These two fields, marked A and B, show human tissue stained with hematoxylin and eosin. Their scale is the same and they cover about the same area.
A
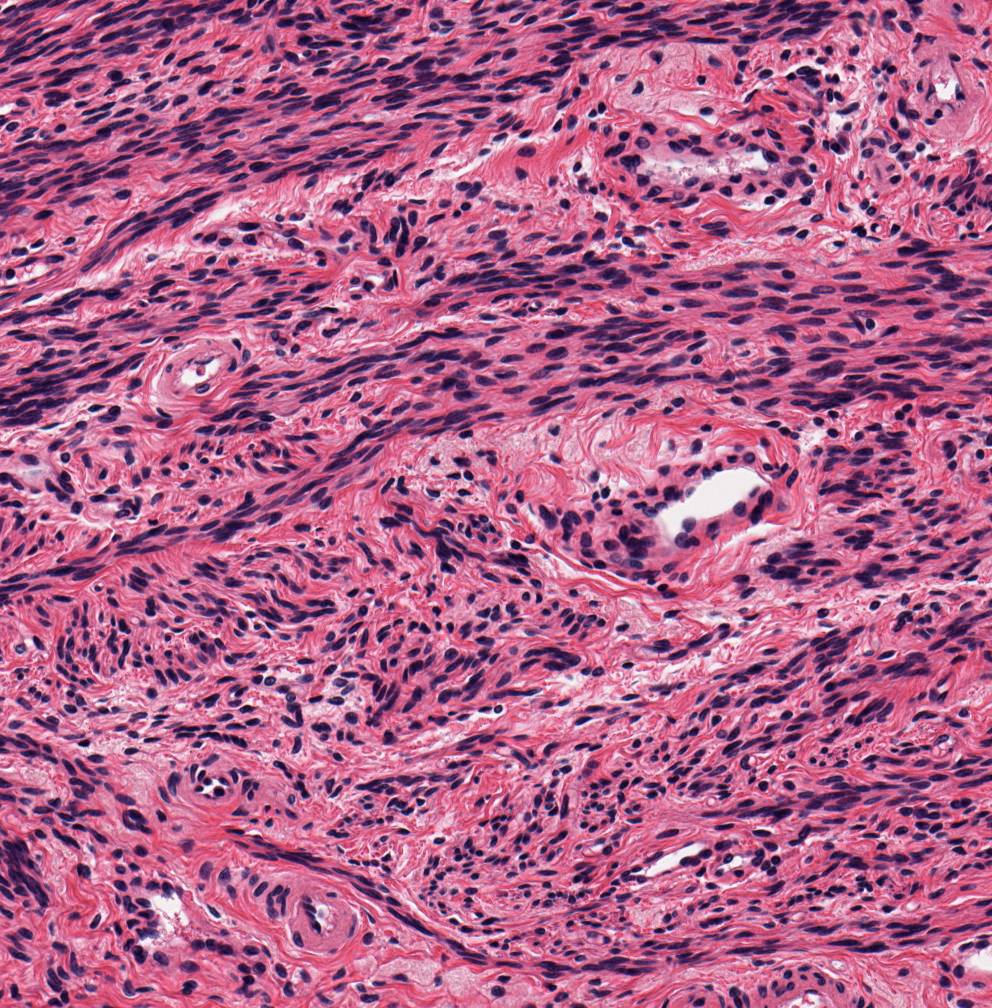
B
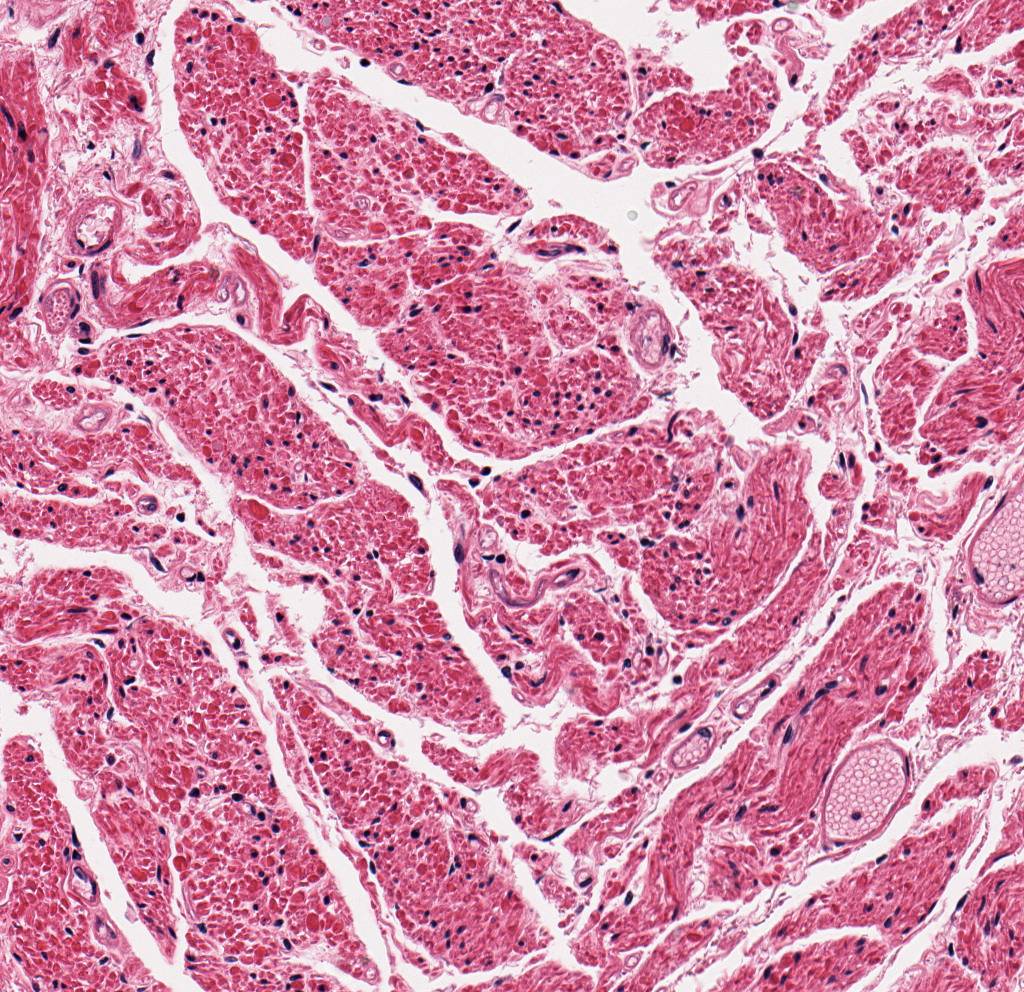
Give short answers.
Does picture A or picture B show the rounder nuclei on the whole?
B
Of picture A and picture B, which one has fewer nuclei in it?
B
